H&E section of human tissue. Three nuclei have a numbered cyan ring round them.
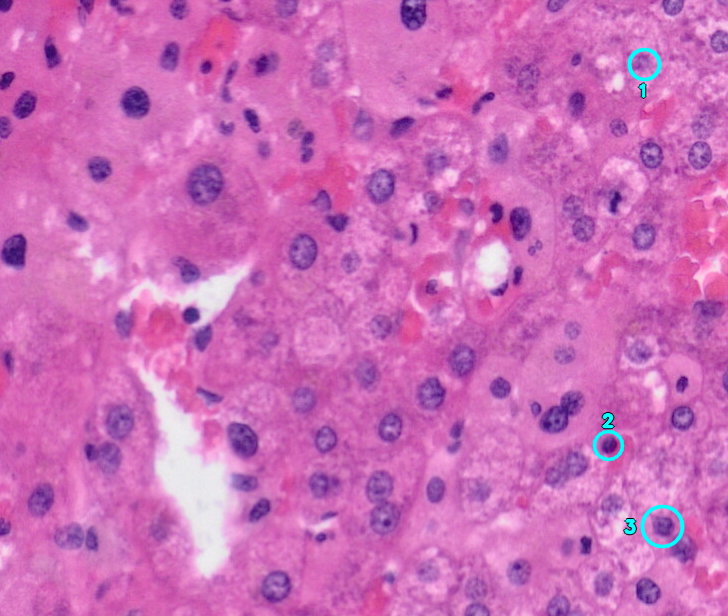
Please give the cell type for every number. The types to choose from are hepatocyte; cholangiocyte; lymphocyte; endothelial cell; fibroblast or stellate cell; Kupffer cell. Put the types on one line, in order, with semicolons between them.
hepatocyte; lymphocyte; fibroblast or stellate cell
